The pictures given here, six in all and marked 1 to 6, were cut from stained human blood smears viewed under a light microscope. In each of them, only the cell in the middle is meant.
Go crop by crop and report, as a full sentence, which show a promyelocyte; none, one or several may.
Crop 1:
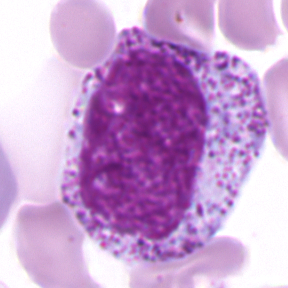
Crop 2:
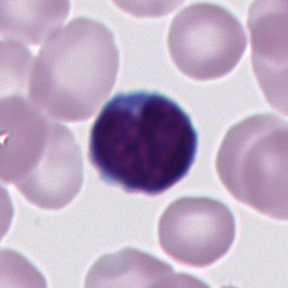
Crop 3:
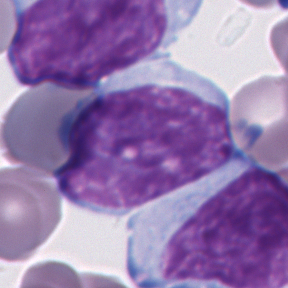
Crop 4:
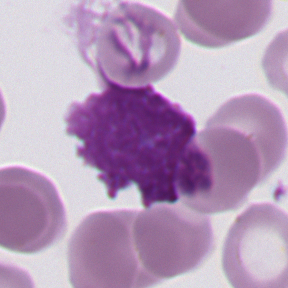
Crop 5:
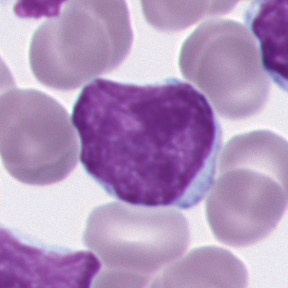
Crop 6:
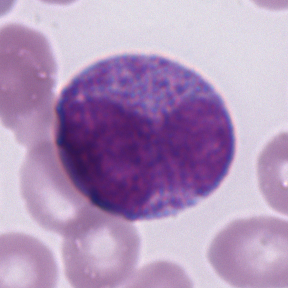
A single crop, crop 6, contains a promyelocyte.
